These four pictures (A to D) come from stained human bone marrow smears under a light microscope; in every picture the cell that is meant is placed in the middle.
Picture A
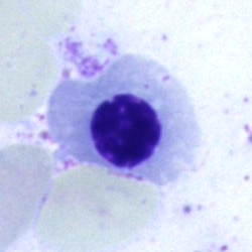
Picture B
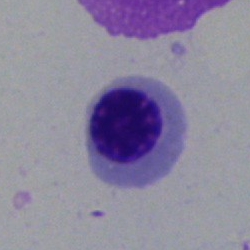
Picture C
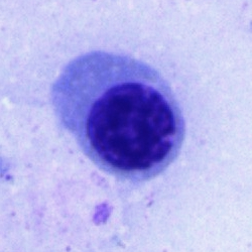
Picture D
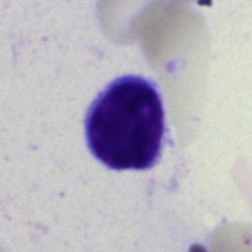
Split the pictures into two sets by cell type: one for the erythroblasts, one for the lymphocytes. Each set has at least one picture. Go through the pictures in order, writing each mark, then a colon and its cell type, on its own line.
A: erythroblast
B: erythroblast
C: erythroblast
D: lymphocyte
